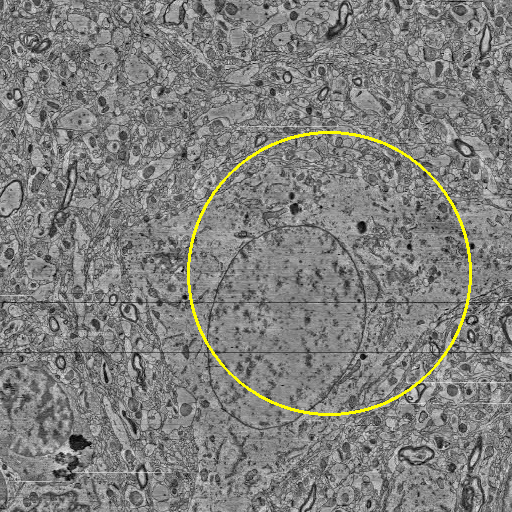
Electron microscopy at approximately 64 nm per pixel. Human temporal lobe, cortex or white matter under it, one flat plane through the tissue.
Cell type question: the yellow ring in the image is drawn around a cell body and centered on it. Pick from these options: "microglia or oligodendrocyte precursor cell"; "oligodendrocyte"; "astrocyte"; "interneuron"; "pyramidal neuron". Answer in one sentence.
The ringed cell at the center is a pyramidal neuron.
